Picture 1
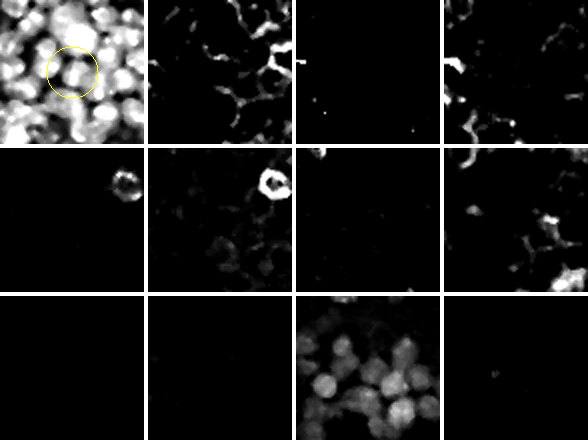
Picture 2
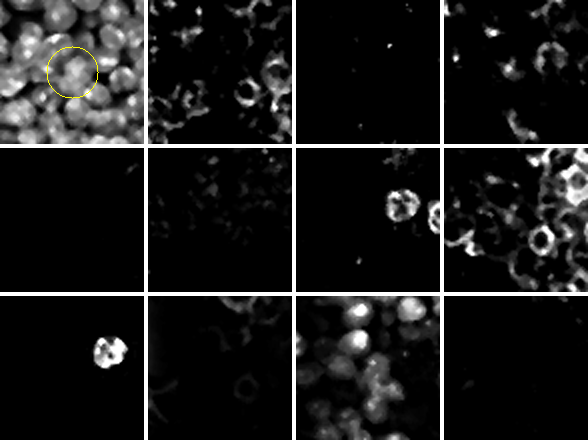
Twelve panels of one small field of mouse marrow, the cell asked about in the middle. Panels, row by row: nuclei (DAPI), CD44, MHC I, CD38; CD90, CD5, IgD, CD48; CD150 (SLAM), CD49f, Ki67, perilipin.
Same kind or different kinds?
Same: erythroblasts.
